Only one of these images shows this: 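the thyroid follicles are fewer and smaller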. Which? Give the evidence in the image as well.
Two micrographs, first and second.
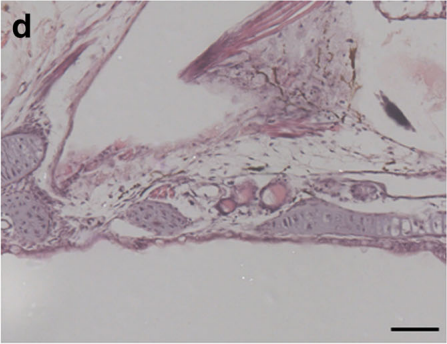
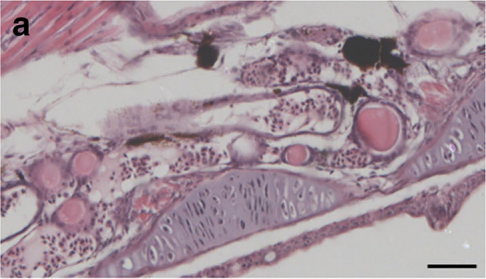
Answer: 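Second image: many large follicles filled with deep pink colloid spread across the tissue. First image: only a few small pale pink follicles clustered together. On this evidence: the first image.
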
